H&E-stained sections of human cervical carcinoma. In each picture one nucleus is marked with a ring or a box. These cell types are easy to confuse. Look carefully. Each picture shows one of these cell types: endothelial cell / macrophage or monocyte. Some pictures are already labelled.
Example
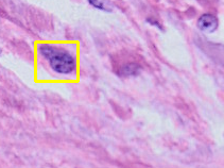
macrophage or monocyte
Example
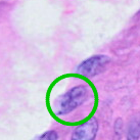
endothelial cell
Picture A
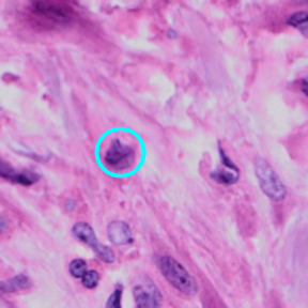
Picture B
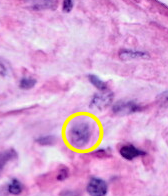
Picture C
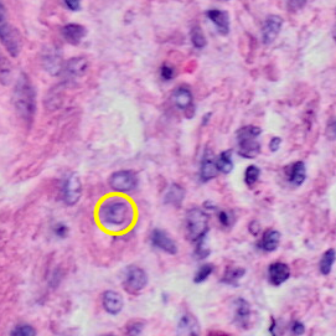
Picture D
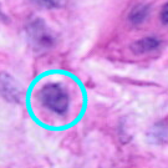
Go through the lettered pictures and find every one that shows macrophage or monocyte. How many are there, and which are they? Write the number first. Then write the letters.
3: A, B, D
